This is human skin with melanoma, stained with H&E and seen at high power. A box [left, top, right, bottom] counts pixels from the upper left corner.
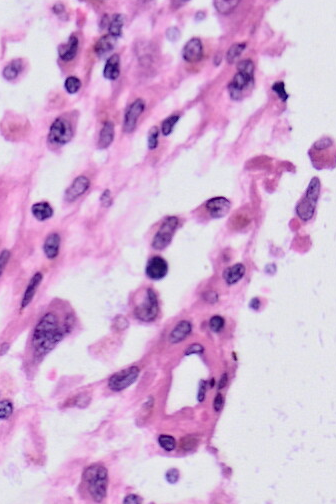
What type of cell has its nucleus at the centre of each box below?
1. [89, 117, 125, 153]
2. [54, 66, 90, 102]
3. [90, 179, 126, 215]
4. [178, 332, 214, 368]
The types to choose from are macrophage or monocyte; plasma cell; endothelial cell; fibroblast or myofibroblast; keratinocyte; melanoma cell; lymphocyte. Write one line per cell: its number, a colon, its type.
1: macrophage or monocyte
2: lymphocyte
3: macrophage or monocyte
4: endothelial cell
